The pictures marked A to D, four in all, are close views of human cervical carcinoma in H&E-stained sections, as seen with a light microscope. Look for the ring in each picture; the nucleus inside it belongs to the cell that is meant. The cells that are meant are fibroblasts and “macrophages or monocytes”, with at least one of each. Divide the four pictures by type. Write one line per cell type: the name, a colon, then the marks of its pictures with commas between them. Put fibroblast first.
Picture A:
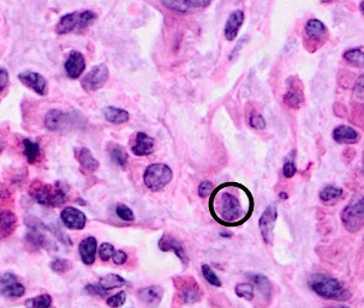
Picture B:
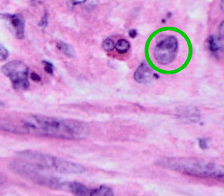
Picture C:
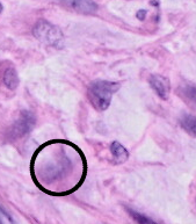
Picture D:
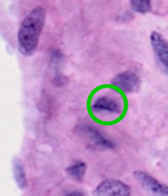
fibroblast: C, D
macrophage or monocyte: A, B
